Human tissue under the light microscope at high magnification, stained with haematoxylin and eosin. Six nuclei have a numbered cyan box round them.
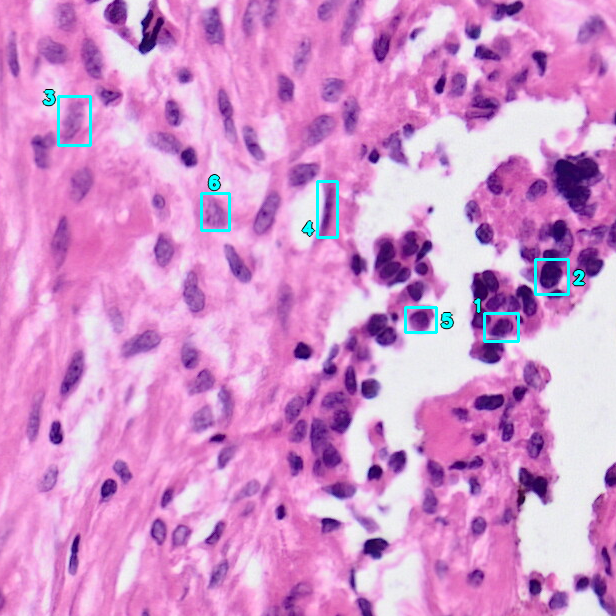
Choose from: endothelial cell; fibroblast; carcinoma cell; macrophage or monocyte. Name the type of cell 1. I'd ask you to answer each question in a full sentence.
The one labeled 1 is a carcinoma cell, to put it simply.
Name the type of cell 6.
The cell indicated with the number 6 is classed as a fibroblast.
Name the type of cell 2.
Number 2 is placed on a carcinoma cell here.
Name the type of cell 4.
Number 4 is placed on a fibroblast here.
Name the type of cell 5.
Corresponding to a carcinoma cell is the cell labelled 5.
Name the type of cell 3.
Numbered cell 3 is a fibroblast in this tissue section.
